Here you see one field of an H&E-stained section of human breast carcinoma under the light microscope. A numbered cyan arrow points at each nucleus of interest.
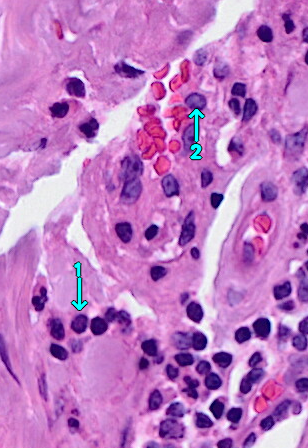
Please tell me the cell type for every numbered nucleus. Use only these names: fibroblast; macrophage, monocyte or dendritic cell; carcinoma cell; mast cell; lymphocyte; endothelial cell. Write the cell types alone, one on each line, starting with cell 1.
lymphocyte
endothelial cell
